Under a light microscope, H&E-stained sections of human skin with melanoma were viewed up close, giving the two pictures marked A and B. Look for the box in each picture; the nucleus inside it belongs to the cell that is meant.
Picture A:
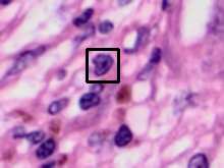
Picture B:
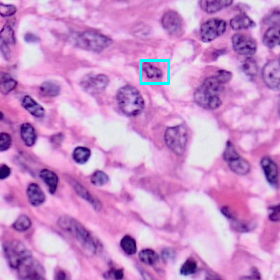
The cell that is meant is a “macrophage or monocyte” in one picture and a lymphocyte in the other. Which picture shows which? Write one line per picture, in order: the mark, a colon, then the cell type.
A: lymphocyte
B: macrophage or monocyte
